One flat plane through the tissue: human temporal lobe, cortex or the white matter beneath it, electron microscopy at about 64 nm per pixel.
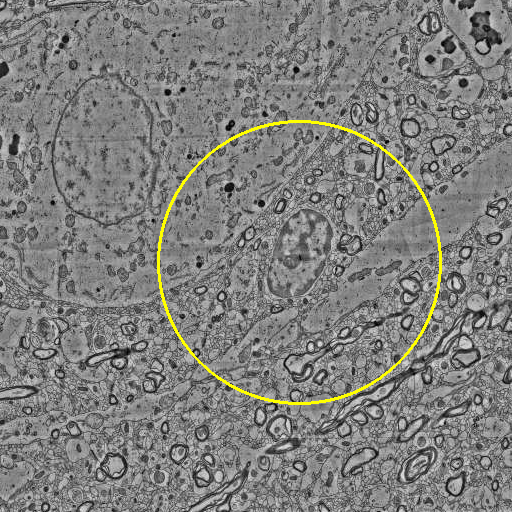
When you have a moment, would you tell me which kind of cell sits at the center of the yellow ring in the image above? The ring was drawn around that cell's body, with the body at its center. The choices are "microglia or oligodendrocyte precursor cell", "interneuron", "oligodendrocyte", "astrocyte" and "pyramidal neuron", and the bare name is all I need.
microglia or oligodendrocyte precursor cell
